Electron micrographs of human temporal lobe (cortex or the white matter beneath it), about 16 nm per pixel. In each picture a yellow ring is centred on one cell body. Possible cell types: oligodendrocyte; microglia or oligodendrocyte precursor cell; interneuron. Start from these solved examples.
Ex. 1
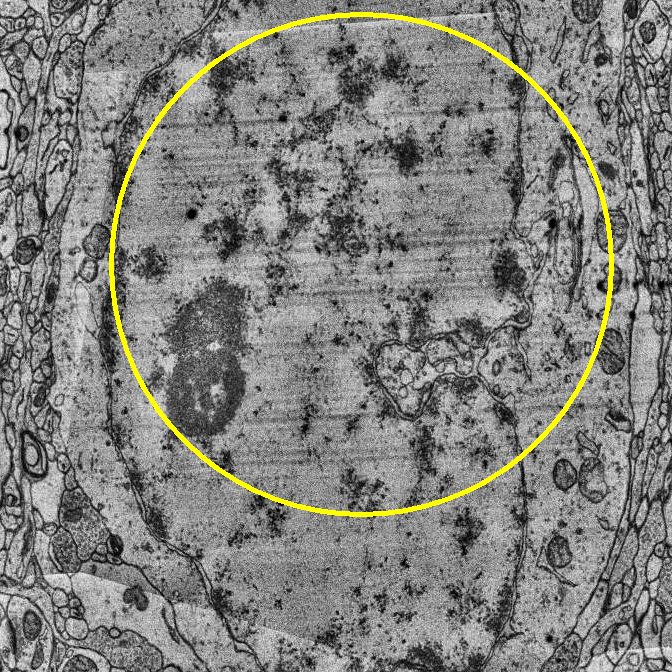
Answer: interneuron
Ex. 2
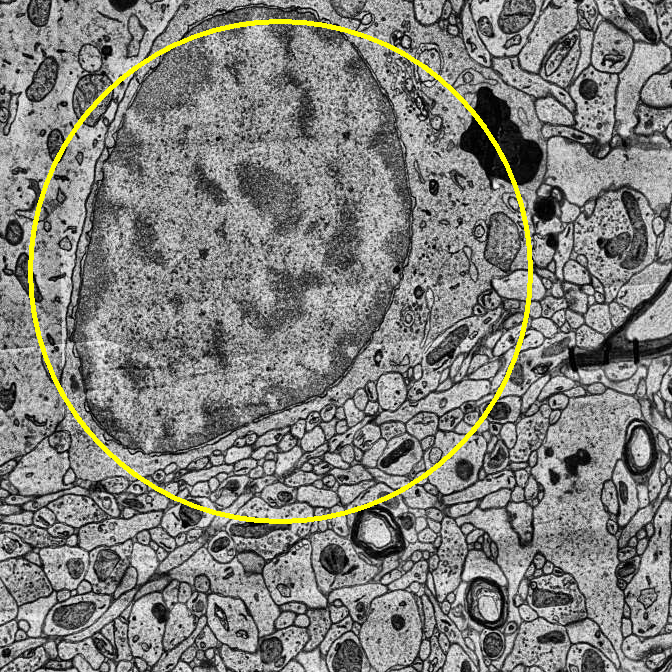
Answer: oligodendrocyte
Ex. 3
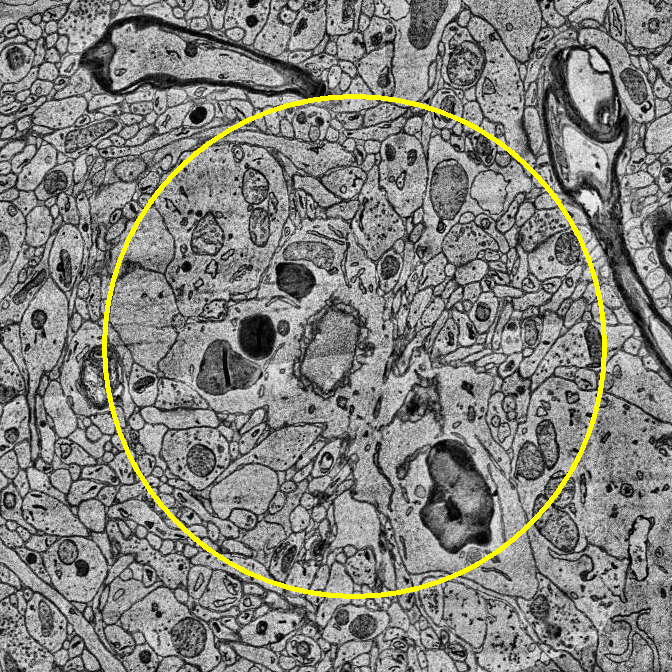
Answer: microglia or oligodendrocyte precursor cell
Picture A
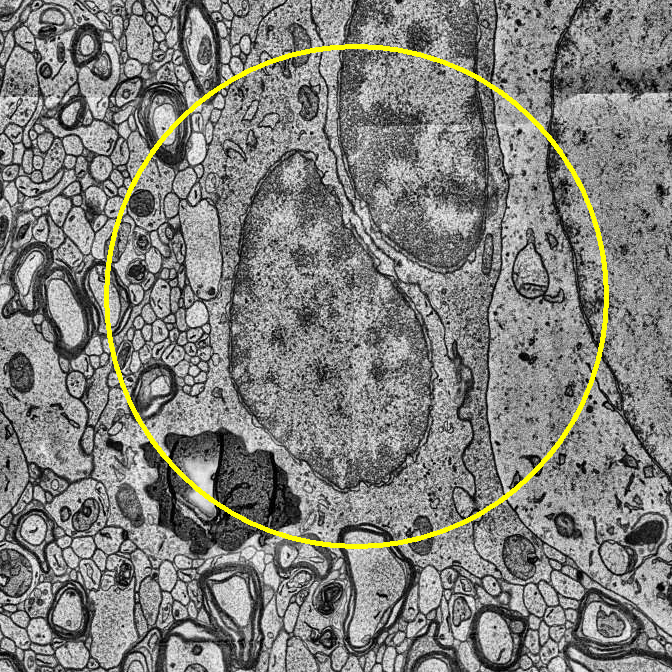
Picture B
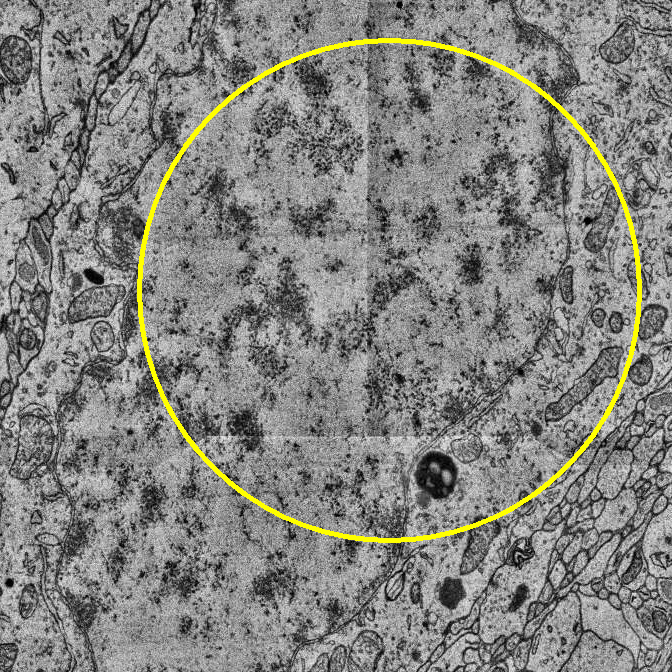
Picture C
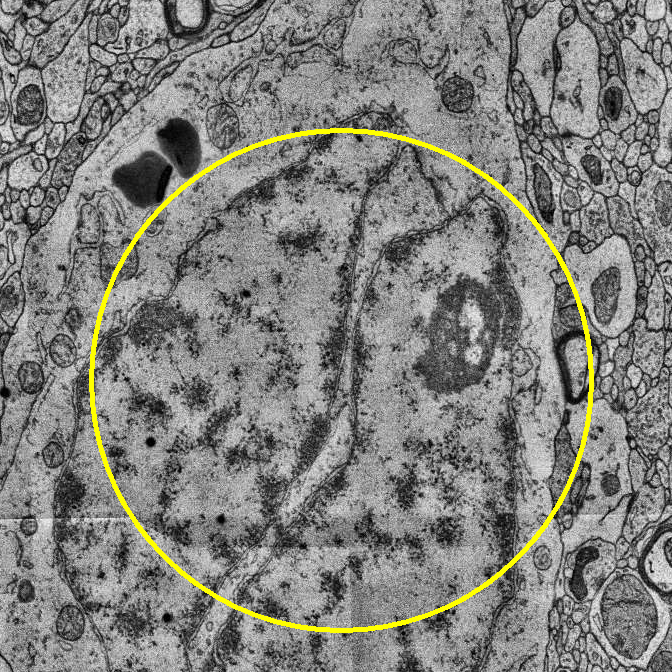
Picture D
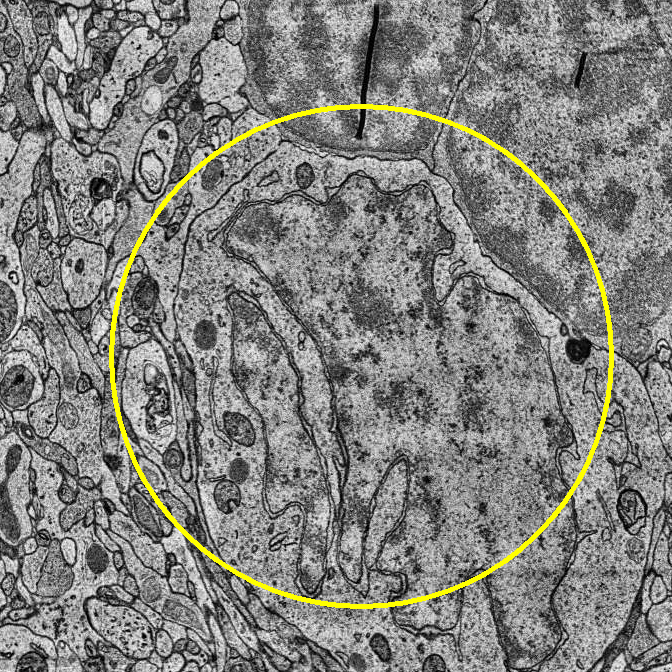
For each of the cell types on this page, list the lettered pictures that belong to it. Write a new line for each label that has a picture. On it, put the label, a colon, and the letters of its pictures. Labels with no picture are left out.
oligodendrocyte: A
interneuron: B, C, D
